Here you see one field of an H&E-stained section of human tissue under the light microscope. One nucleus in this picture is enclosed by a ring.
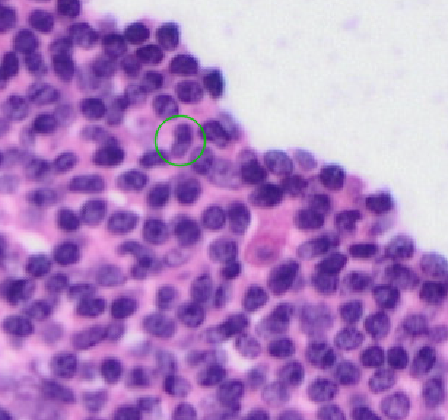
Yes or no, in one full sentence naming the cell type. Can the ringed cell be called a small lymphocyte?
Yes, the identification stands: the ringed cell is a small lymphocyte.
